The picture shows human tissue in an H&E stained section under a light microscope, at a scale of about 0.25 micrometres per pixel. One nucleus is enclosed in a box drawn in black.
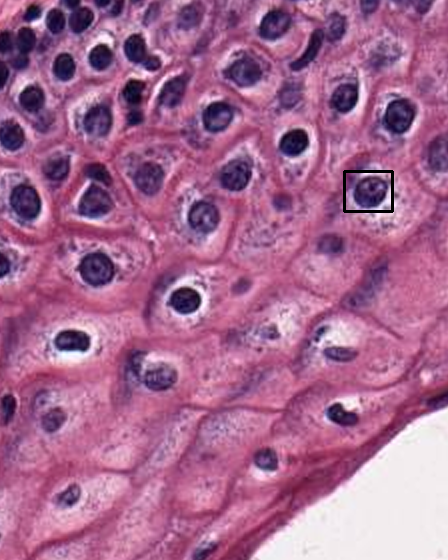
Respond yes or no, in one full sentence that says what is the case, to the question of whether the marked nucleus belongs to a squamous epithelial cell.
Yes, belonging to a squamous epithelial cell is the marked nucleus.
